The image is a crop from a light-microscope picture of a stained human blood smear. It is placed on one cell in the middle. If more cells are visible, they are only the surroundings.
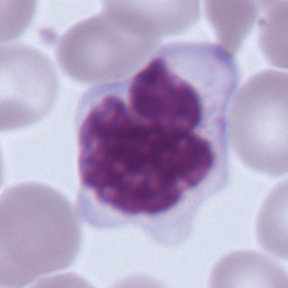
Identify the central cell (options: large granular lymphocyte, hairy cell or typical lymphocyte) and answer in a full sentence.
The central element of this crop is a cell, namely a large granular lymphocyte.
